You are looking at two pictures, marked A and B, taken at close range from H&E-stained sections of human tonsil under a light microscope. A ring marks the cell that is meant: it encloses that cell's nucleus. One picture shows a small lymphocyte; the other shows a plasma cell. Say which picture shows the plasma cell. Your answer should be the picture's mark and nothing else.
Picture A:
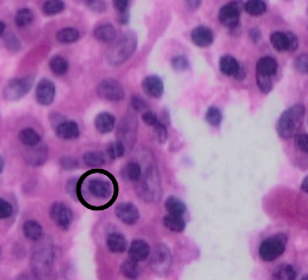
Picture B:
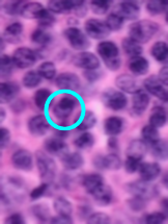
A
